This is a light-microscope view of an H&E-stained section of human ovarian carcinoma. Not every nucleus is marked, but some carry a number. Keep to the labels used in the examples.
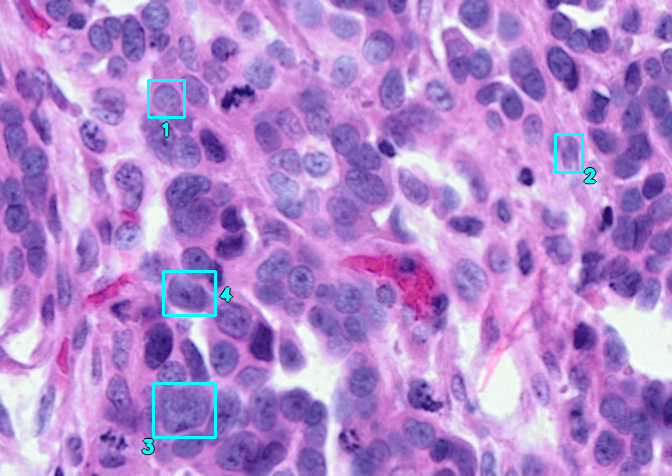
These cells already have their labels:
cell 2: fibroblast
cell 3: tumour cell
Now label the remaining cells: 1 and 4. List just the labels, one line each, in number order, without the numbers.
tumour cell
tumour cell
